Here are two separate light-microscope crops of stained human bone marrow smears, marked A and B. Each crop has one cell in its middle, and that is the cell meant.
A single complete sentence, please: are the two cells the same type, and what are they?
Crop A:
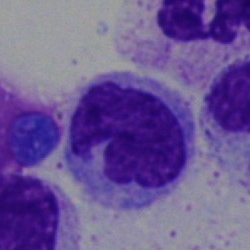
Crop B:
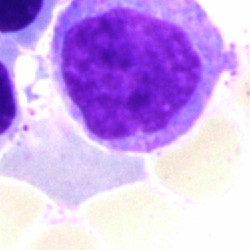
Yes, the cells at the centres of the two crops are monocytes.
